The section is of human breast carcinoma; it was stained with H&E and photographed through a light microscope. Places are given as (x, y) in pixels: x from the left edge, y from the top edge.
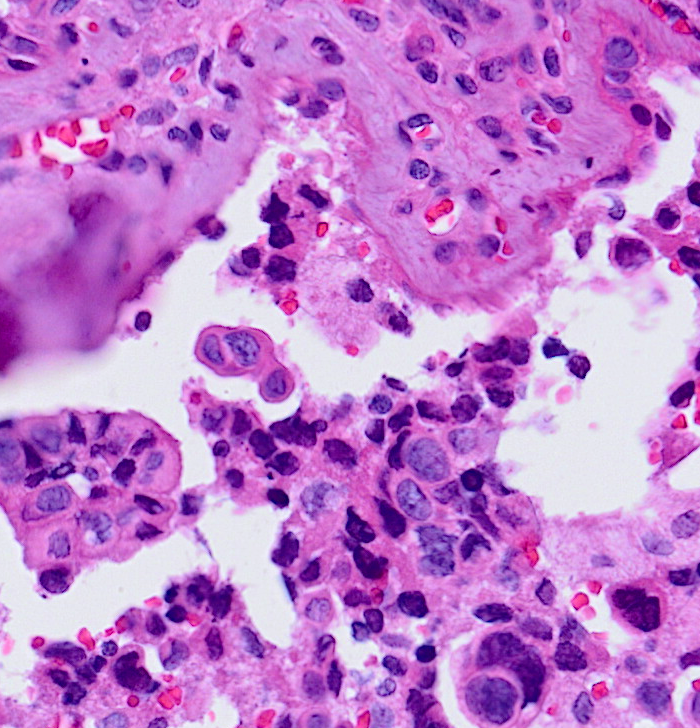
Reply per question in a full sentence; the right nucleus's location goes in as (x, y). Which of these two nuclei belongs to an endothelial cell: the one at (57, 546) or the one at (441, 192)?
Which one belongs to an endothelial cell? The nucleus at (441, 192) does.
